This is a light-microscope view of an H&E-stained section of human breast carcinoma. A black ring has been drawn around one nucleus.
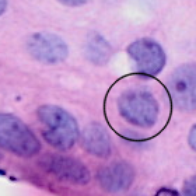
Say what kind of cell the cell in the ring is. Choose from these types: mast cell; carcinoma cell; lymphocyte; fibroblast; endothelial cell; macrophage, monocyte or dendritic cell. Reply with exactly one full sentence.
Cell type answer for this item: the cell in the ring is a carcinoma cell.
